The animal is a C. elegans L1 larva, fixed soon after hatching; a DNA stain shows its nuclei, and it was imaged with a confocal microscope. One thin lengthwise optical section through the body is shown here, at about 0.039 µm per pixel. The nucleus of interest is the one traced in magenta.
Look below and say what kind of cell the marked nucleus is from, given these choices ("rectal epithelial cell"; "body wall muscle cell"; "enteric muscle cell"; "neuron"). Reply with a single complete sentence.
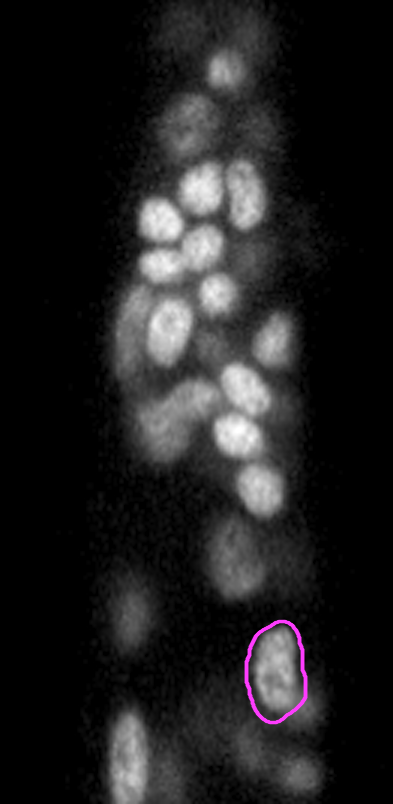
It belongs to a body wall muscle cell.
